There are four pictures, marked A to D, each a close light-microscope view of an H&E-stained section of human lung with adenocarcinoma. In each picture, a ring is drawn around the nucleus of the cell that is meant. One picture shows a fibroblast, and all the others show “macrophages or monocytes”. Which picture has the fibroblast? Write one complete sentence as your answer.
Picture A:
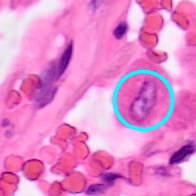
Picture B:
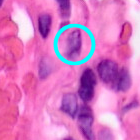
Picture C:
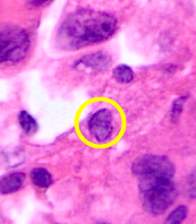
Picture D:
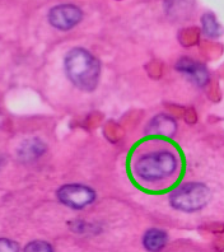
The picture with the fibroblast is B.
